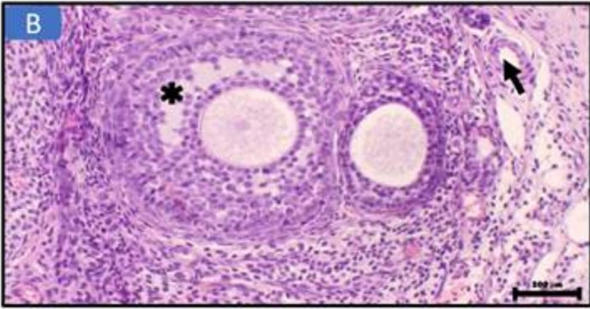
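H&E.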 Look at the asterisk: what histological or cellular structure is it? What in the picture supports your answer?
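Secondary follicle. The asterisk lies within a multilayered ring of granulosa-like cells around a large round oocyte. Small clear spaces appear among the follicle cells. A layer of flattened cells surrounds the follicle.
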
